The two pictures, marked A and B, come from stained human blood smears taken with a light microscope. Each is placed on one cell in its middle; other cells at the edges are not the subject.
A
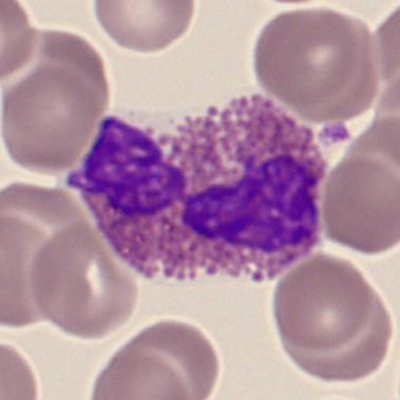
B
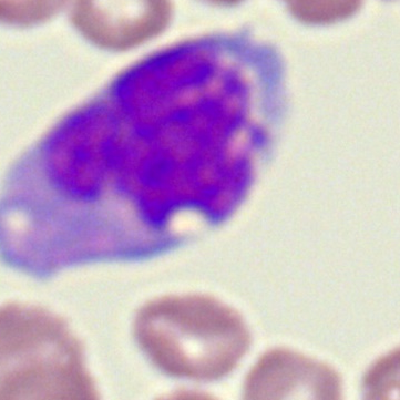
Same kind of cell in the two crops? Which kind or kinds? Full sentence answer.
No, the assignment should read crop A, an eosinophil; crop B, a monocyte.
